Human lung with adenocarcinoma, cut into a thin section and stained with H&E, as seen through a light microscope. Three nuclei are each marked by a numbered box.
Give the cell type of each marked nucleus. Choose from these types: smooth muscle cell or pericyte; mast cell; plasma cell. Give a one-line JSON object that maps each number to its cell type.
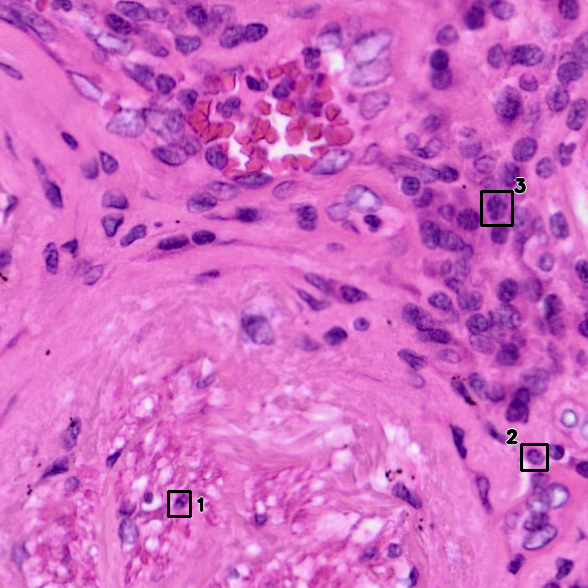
{"1": "smooth muscle cell or pericyte", "2": "mast cell", "3": "plasma cell"}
